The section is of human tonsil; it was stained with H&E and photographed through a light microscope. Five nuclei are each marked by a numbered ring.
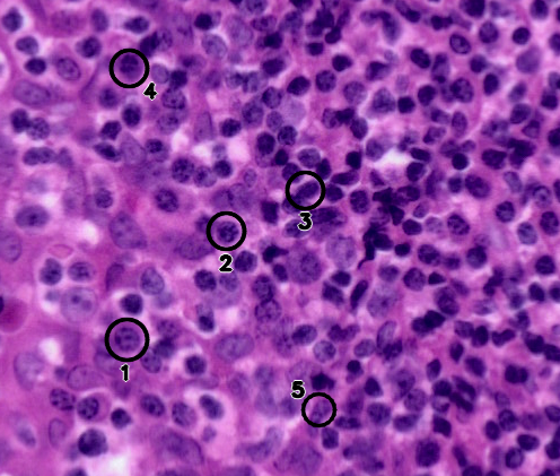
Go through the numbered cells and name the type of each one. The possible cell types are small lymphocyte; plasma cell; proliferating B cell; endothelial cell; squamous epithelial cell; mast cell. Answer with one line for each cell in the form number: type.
1: plasma cell
2: plasma cell
3: small lymphocyte
4: plasma cell
5: squamous epithelial cell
